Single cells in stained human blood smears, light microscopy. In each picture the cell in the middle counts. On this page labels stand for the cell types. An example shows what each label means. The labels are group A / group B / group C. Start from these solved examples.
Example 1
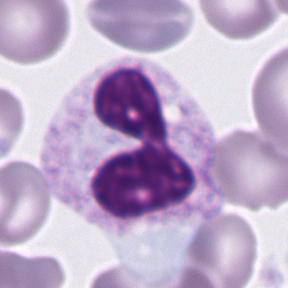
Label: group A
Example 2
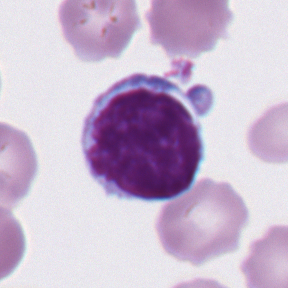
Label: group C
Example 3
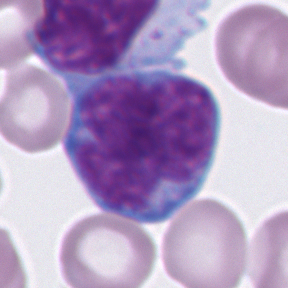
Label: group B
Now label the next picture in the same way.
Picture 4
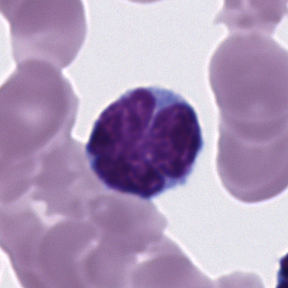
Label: group C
